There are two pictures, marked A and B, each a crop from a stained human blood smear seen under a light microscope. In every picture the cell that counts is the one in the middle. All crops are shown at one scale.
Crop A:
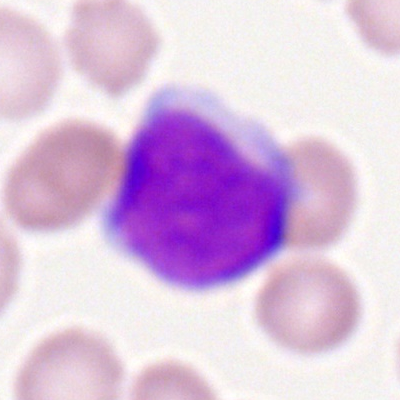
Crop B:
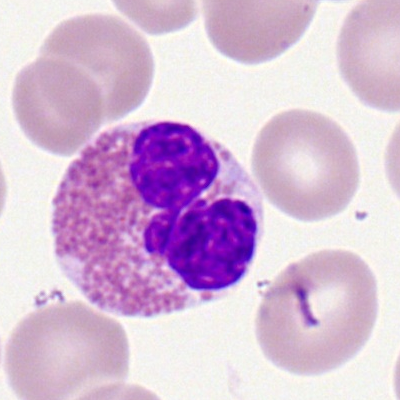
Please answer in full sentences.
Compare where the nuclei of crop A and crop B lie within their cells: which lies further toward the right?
In crop B the nucleus is shifted more toward the right.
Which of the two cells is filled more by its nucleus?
It is the cell in crop A that is filled more by its nucleus.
